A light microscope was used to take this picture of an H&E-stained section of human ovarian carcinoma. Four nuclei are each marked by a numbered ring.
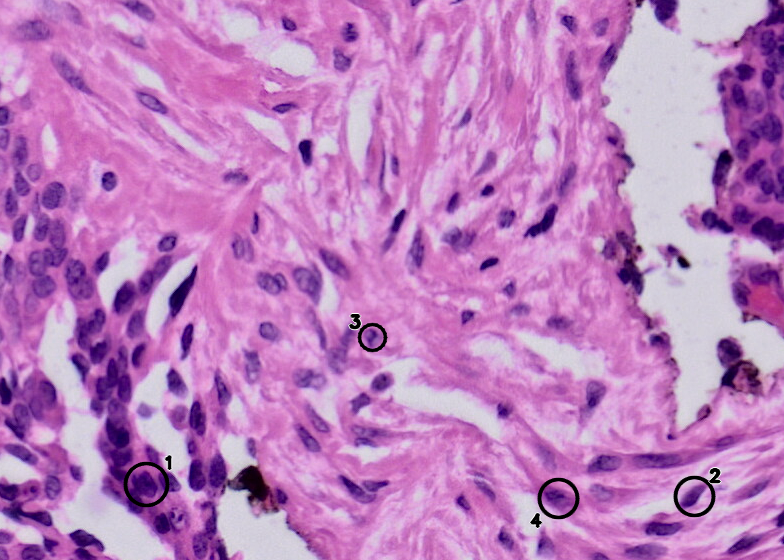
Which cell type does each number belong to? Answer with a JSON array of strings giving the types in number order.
["carcinoma cell", "fibroblast", "fibroblast", "fibroblast"]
